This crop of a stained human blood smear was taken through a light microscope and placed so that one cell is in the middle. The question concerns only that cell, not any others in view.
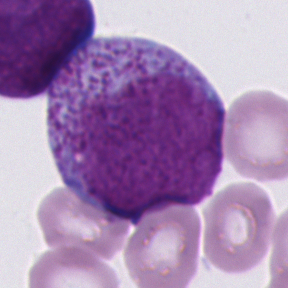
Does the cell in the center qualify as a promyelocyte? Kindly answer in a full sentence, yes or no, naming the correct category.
Yes, the cell at the centre of this crop is identified as a promyelocyte.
